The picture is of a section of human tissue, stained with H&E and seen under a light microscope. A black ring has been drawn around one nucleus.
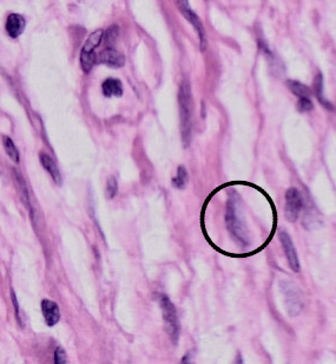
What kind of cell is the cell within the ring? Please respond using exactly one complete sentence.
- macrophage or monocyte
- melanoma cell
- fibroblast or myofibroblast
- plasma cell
Cell type answer for this item: the cell within the ring is a fibroblast or myofibroblast.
